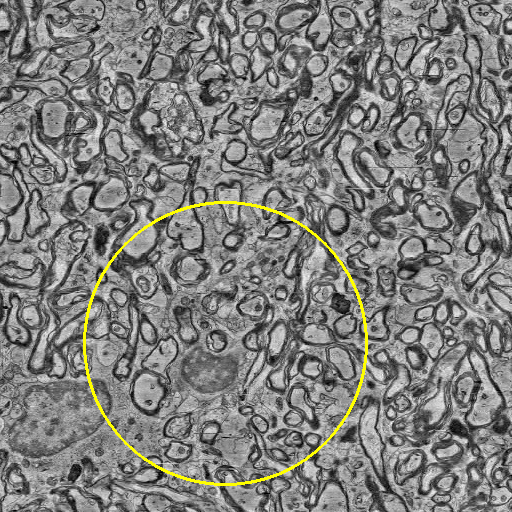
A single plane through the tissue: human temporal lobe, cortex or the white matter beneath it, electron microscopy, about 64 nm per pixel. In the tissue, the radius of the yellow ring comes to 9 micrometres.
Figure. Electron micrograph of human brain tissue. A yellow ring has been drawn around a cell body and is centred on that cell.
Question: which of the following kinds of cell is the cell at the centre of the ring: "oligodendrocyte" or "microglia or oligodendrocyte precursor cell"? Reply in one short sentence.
The cell at the centre of the ring is an oligodendrocyte.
